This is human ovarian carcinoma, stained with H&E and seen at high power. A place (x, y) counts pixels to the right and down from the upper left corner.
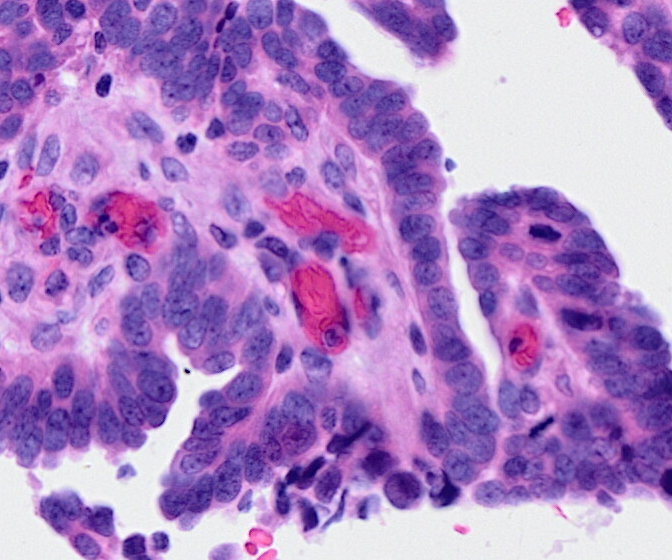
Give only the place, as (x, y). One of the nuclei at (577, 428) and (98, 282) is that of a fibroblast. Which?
(98, 282)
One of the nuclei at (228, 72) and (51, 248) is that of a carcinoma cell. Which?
(228, 72)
